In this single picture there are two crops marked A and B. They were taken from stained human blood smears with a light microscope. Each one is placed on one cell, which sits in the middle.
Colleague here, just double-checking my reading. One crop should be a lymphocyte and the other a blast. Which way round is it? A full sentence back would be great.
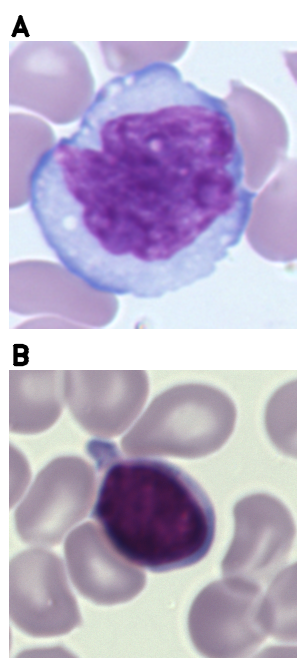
Among the crops, crop A is a blast and crop B is a lymphocyte.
